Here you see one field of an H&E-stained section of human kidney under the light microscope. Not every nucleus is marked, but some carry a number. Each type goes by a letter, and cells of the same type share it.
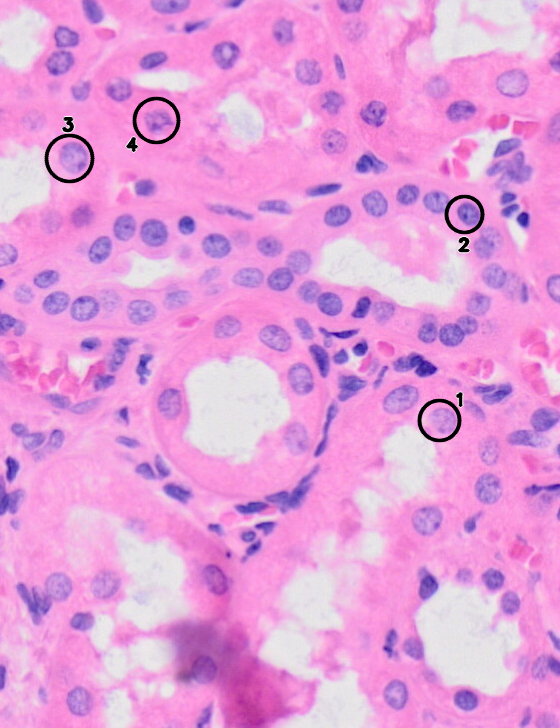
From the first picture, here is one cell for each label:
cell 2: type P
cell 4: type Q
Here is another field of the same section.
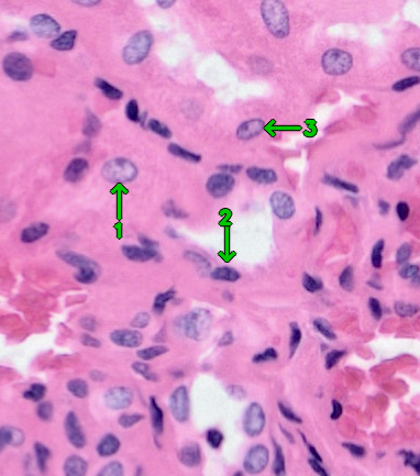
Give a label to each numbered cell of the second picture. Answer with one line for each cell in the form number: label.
1: type Q
2: type P
3: type Q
